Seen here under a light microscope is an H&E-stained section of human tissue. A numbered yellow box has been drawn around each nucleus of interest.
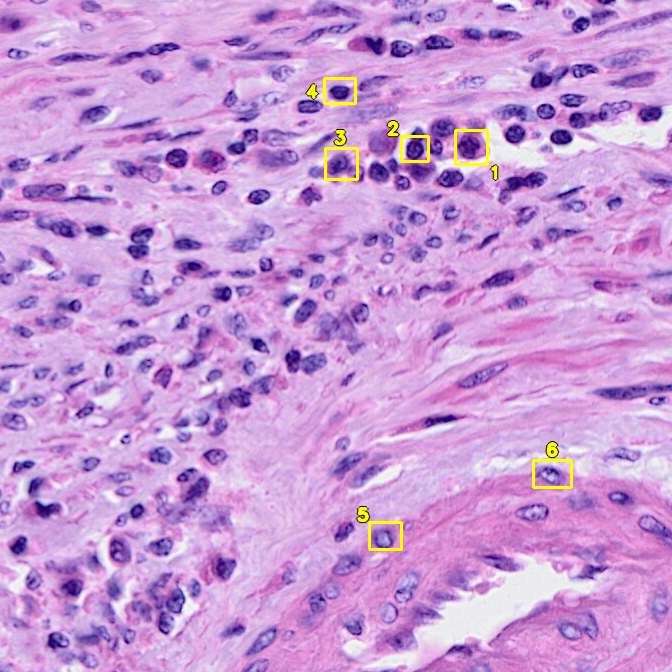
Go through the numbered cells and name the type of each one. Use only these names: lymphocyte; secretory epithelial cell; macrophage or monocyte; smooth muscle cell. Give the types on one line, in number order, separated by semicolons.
lymphocyte; lymphocyte; lymphocyte; lymphocyte; smooth muscle cell; smooth muscle cell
